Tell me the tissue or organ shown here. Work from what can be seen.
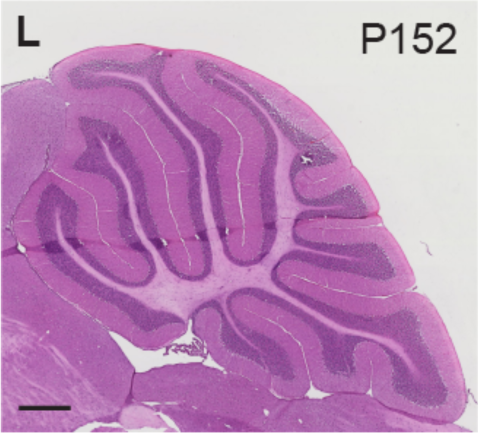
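Many branching folds radiate from a central pale core. Dense dark purple layer lies beneath a paler pink outer layer in each fold.
Hence: cerebellum.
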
